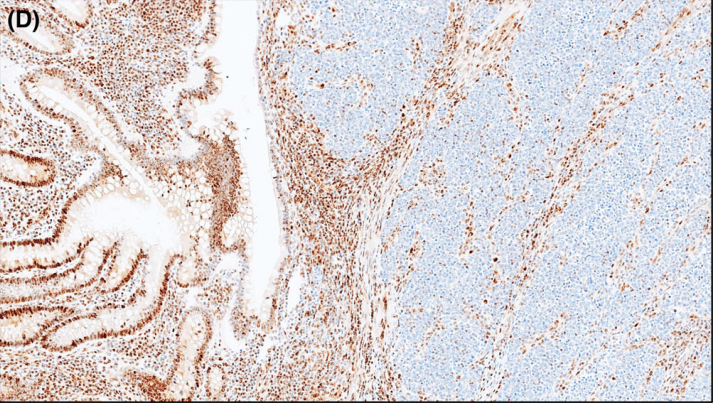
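At the left, mucosal glands lined by columnar epithelium and the surrounding stroma show brown-stained nuclei, as do scattered cells along strands running through the tumour. At the right, the sheets of tumour cells have only blue counterstained nuclei without brown. The tumour cells lack the stain that is kept in the adjacent mucosa and the inflammatory infiltrate.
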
